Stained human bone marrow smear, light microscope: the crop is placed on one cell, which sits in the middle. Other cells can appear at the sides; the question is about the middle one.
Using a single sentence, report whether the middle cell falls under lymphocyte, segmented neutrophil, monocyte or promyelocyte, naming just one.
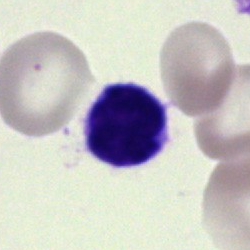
Where the crop is centred, there is a lymphocyte.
